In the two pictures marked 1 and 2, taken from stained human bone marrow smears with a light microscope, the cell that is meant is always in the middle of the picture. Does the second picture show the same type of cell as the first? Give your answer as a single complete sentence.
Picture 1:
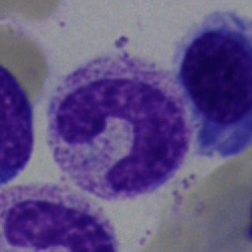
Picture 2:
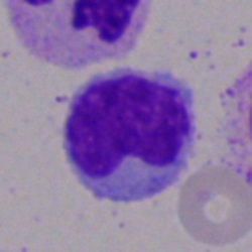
No; the cell in picture 1 is a band neutrophil, while the one in picture 2 is a metamyelocyte.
